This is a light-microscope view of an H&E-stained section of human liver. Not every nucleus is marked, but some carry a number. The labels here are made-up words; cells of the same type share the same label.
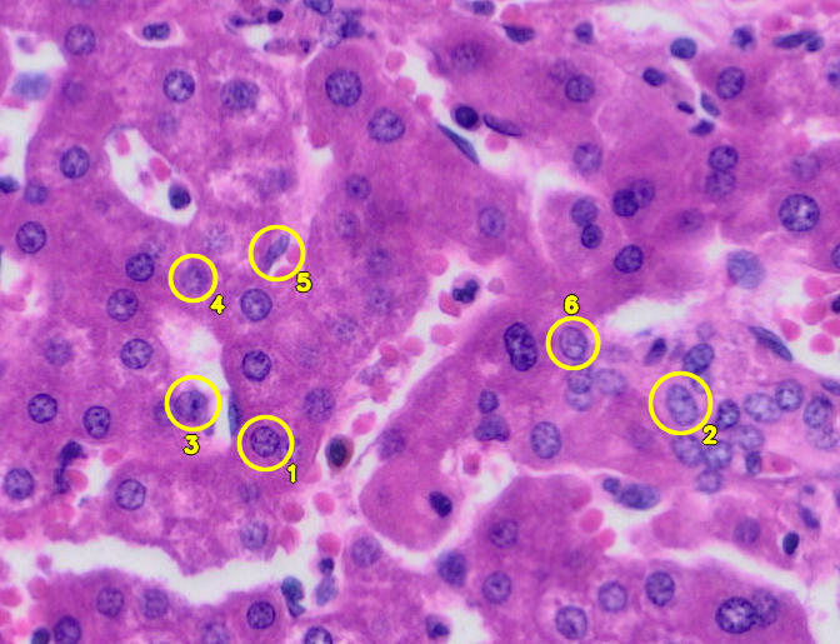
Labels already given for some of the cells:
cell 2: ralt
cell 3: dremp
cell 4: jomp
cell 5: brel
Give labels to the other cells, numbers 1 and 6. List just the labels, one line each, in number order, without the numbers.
jomp
ralt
